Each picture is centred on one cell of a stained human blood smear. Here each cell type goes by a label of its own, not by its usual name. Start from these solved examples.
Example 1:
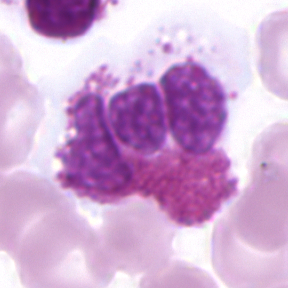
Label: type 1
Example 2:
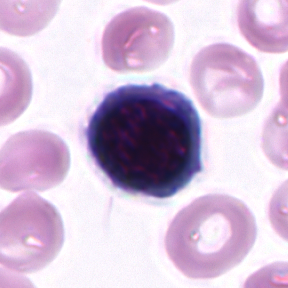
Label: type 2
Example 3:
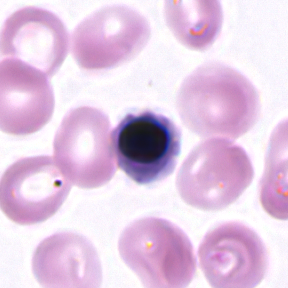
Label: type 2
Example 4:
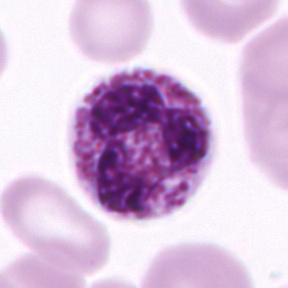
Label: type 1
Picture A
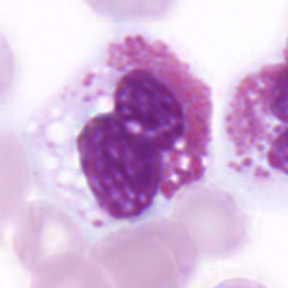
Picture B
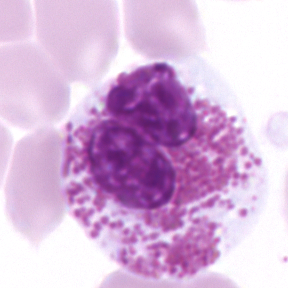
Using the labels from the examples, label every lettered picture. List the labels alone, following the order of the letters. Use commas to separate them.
type 1, type 1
